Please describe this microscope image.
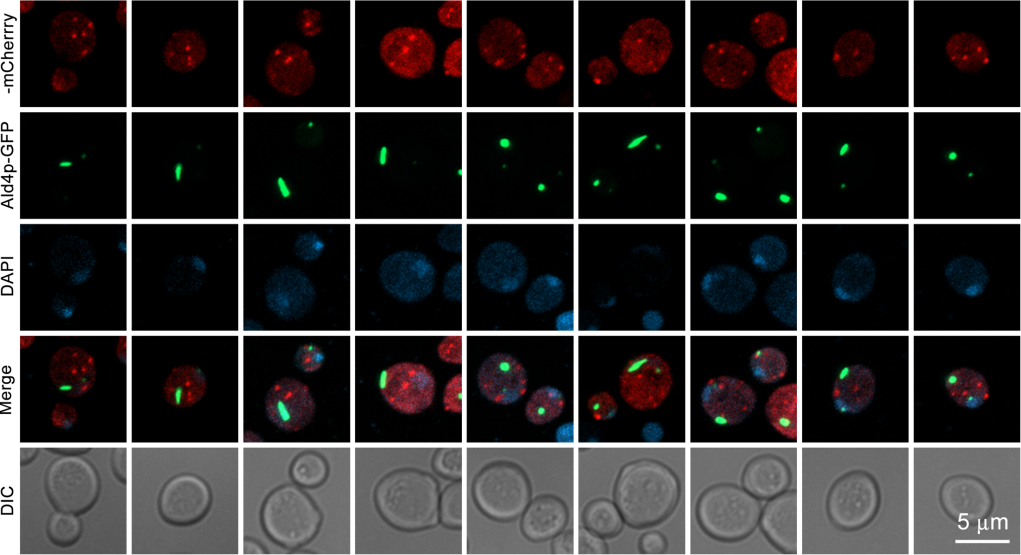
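These are round budding yeast cells, each shown across five rows: red, green, blue, the merged colours, and a grey transmitted-light view. The red fills the cytoplasm faintly and also gathers into a few small bright dots scattered through each cell. The green is not diffuse but forms one or a few compact bodies per cell, often an elongated rod-like shape. In the merged images the red dots and the green bodies lie in separate places and do not overlap, while the blue marks a small patch at one side of the cell.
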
